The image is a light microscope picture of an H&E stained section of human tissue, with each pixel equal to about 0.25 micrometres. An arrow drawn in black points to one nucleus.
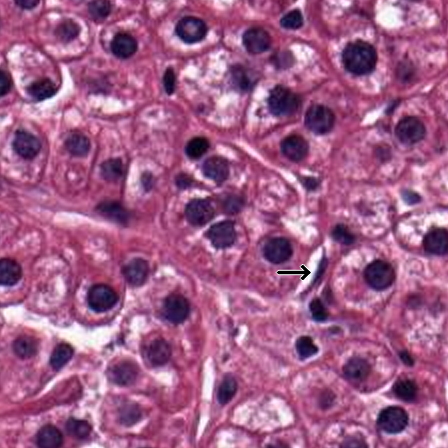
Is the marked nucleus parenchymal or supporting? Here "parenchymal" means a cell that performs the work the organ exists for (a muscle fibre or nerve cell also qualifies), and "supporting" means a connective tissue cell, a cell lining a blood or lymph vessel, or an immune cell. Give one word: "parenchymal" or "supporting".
supporting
